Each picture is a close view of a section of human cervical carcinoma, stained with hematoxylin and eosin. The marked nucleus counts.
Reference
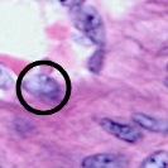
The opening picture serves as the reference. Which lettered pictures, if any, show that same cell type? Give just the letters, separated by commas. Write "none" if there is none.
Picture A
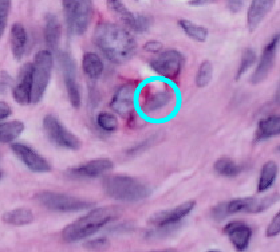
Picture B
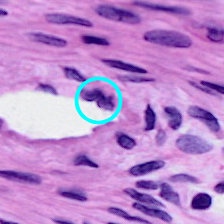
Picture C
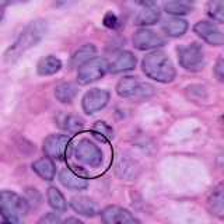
A, B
